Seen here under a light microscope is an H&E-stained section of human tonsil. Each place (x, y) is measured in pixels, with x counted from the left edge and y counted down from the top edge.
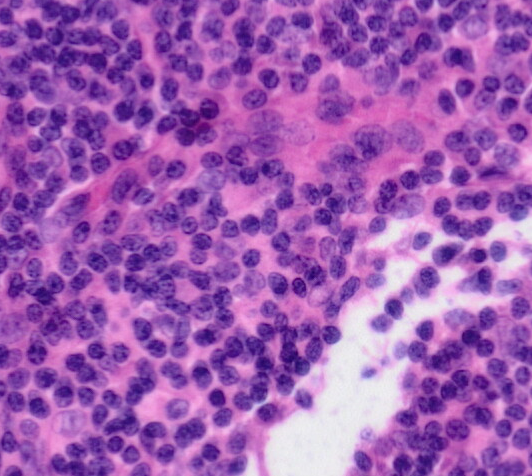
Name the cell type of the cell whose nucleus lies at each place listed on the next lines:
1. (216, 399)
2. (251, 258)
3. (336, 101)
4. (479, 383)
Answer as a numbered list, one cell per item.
1. small lymphocyte
2. small lymphocyte
3. endothelial cell
4. small lymphocyte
